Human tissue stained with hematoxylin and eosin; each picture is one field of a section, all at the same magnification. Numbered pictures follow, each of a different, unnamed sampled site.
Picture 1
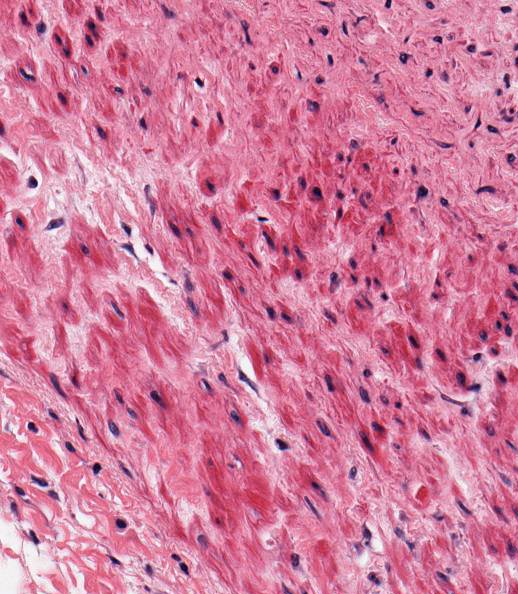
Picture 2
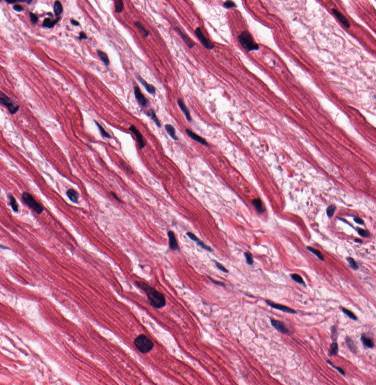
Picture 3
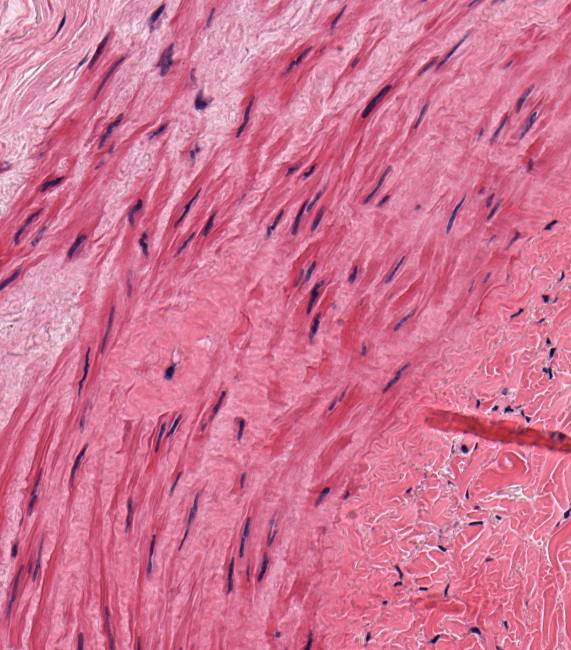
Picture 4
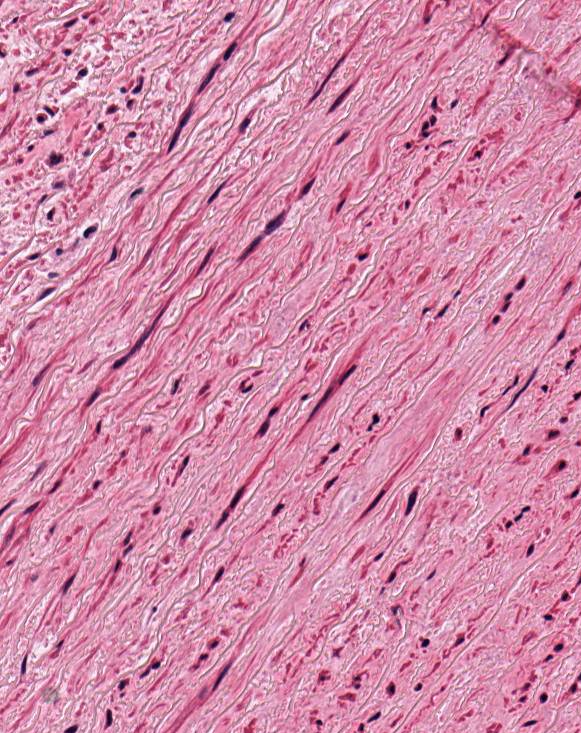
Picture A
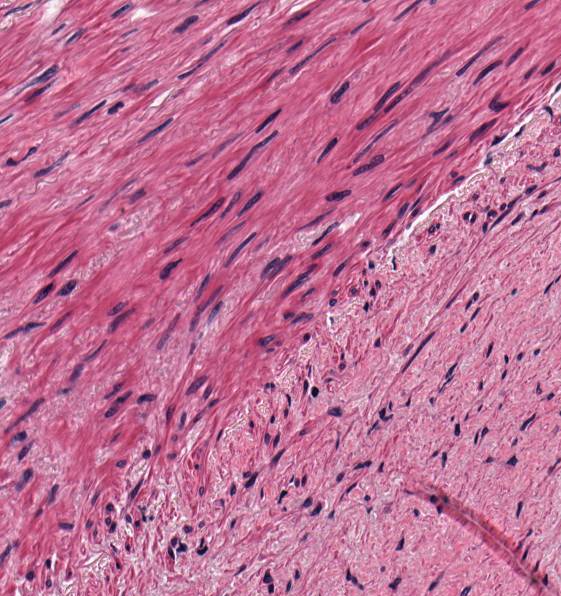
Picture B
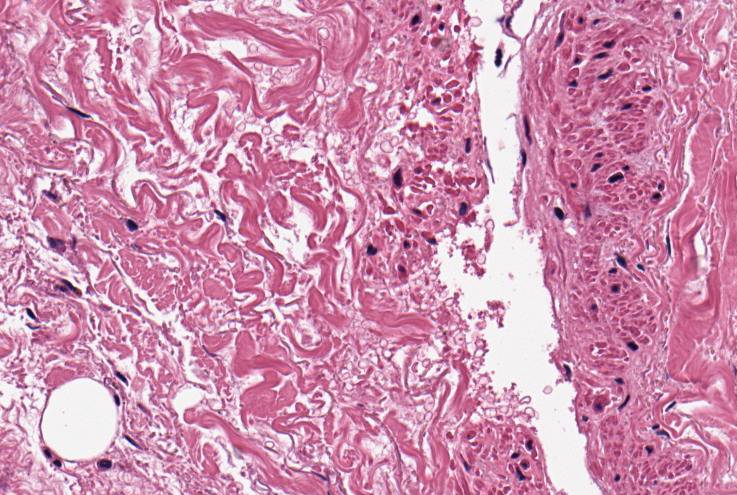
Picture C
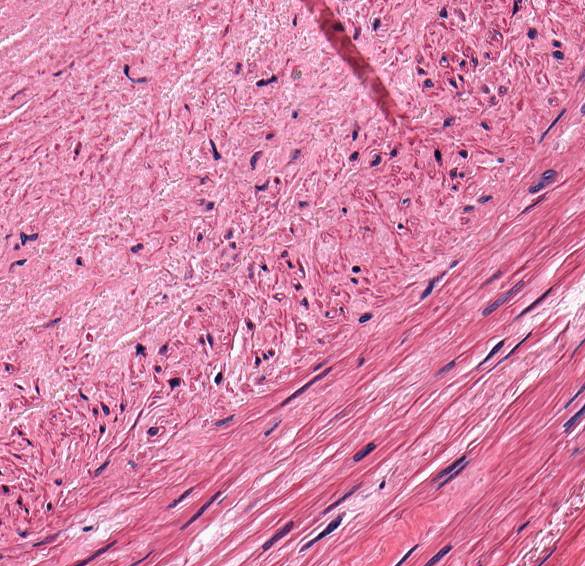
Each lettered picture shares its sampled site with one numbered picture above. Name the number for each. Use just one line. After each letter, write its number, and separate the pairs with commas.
A 1, B 1, C 1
